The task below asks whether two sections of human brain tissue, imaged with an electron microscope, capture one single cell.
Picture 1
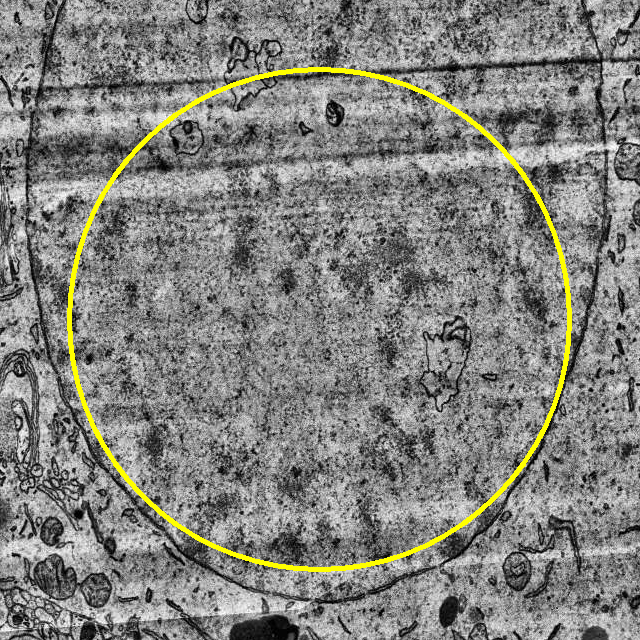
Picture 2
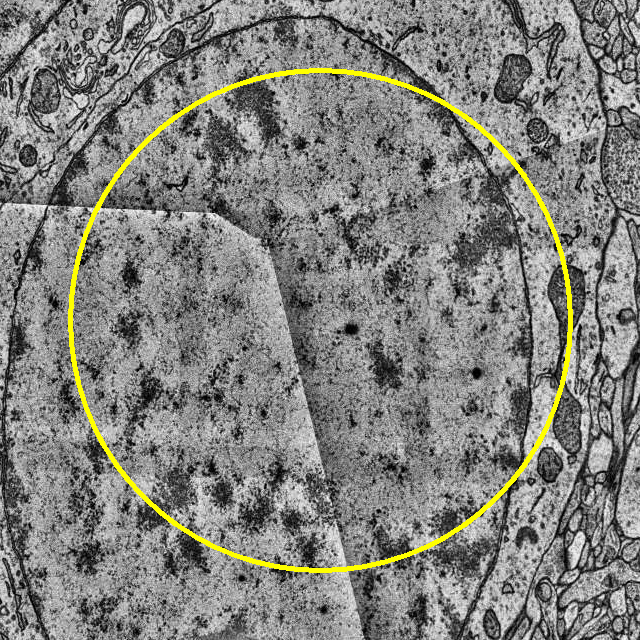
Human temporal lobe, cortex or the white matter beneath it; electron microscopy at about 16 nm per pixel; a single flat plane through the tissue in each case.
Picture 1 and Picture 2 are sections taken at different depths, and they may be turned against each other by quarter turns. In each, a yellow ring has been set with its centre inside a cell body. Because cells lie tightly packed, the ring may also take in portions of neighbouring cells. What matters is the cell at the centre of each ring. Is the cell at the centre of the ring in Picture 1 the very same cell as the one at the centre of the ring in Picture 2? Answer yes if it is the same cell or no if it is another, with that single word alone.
no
